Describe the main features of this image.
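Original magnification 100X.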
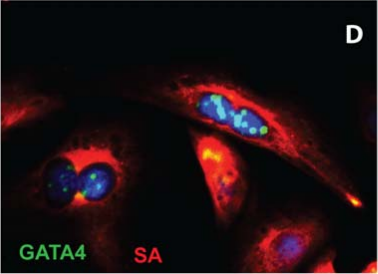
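Nuclei are oval and contain discrete bright green dots. One cell holds two nuclei lying side by side.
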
